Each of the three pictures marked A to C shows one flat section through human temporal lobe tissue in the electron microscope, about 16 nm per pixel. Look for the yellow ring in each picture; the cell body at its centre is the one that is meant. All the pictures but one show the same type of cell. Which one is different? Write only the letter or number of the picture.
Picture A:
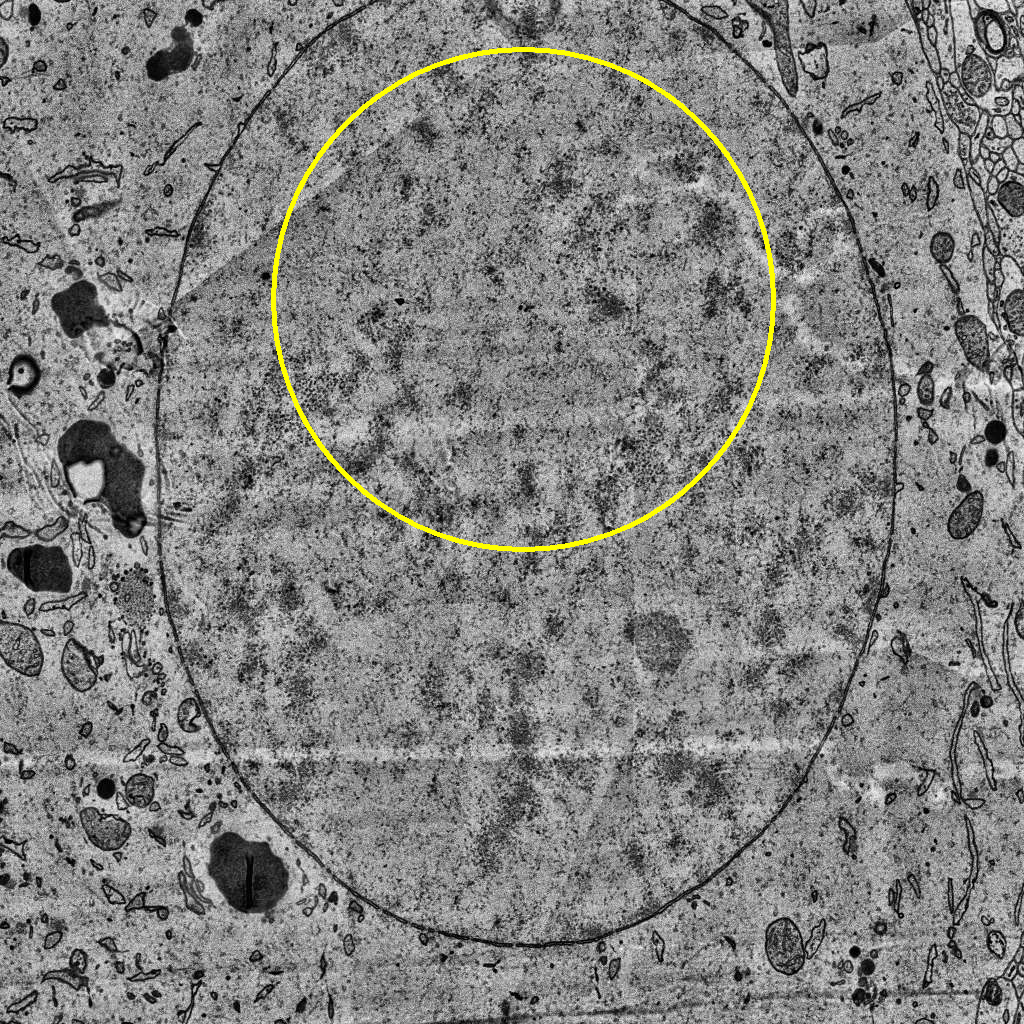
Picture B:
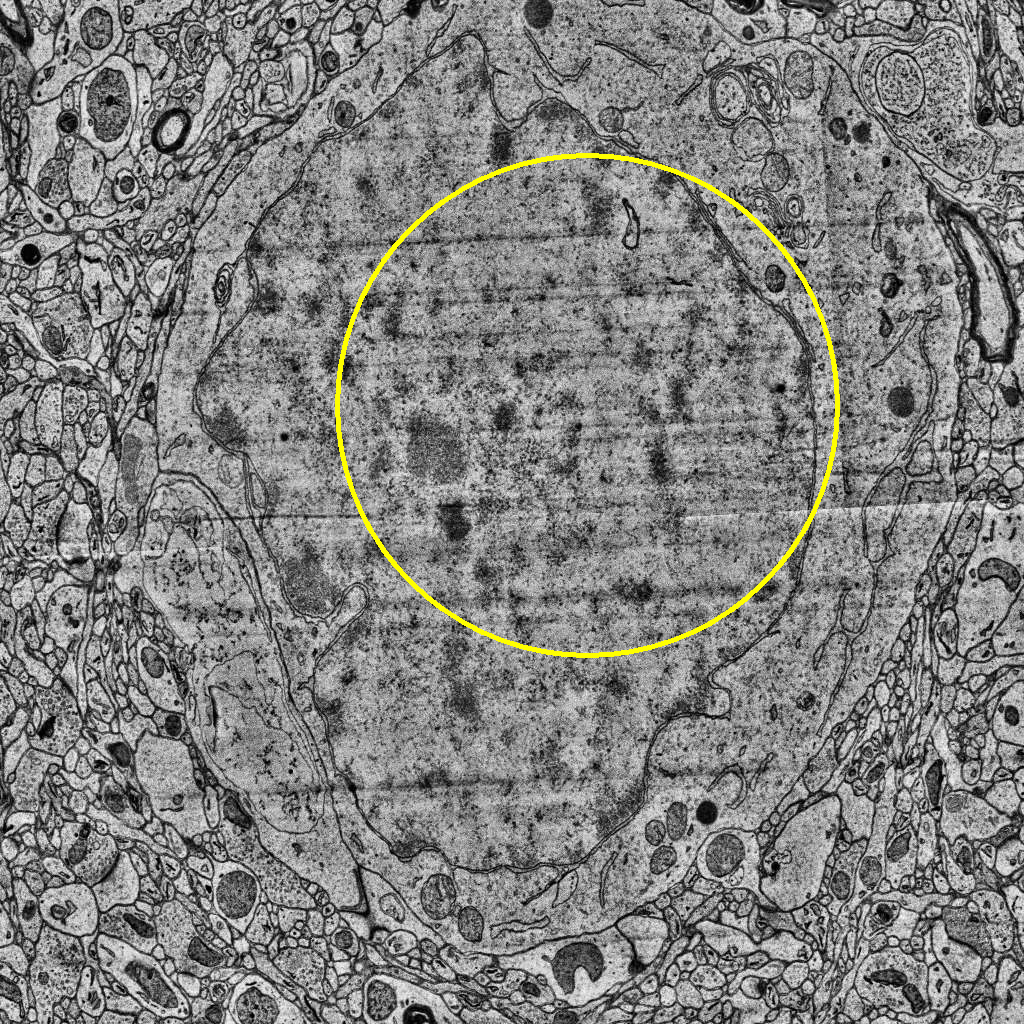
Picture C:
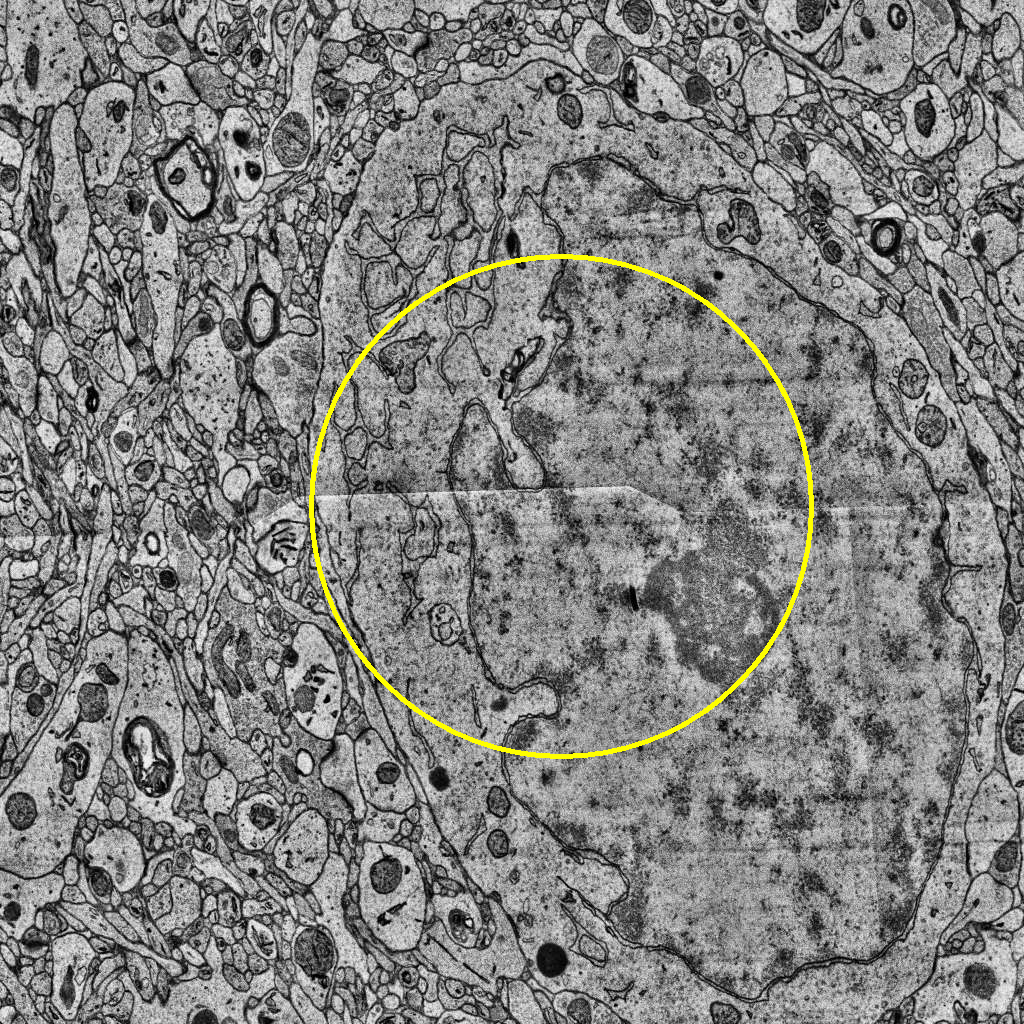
A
